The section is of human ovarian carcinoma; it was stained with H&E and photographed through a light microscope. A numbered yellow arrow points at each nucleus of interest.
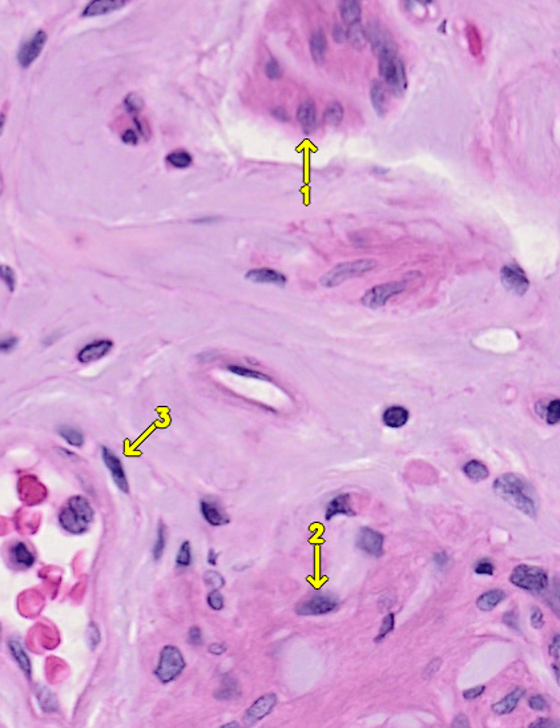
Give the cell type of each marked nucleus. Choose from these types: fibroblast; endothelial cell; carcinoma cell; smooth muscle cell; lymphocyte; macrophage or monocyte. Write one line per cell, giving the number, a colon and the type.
1: smooth muscle cell
2: smooth muscle cell
3: fibroblast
